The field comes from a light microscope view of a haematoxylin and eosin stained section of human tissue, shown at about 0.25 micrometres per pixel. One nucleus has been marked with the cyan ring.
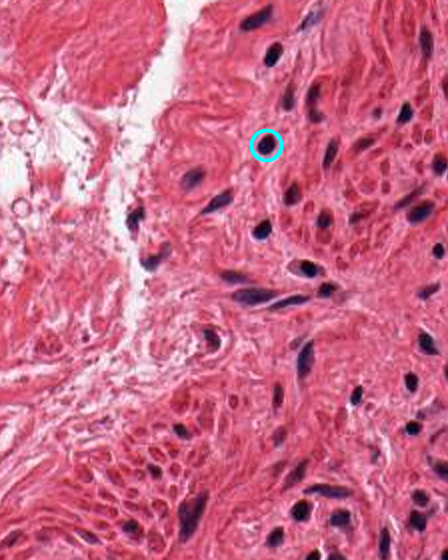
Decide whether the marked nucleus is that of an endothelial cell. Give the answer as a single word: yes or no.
no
